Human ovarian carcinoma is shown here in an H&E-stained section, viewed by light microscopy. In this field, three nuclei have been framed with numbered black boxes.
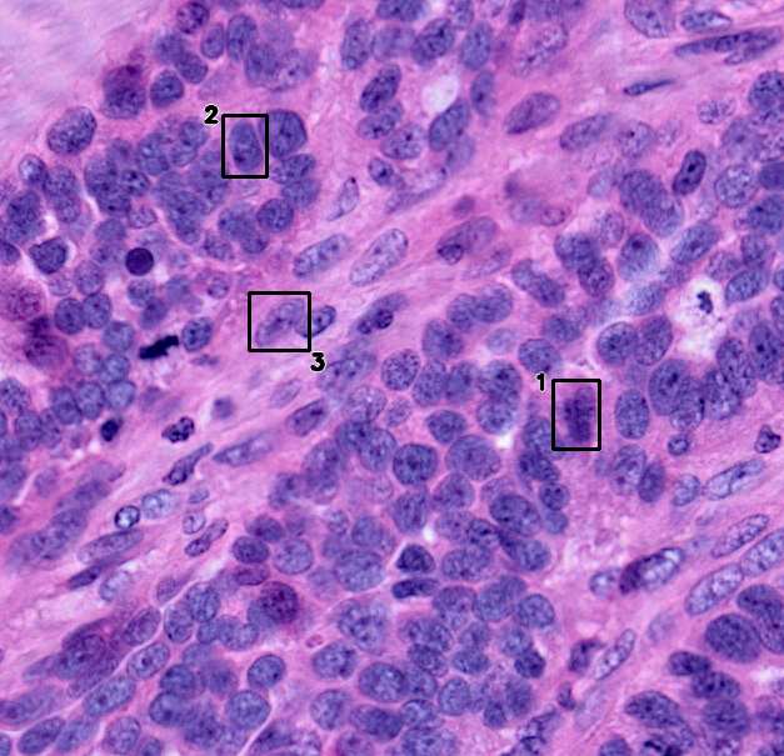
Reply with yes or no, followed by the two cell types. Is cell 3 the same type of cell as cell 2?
No, cell 3 is a fibroblast and cell 2 is a carcinoma cell.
